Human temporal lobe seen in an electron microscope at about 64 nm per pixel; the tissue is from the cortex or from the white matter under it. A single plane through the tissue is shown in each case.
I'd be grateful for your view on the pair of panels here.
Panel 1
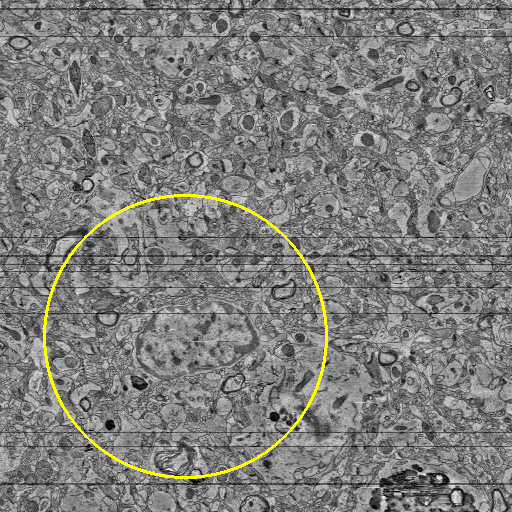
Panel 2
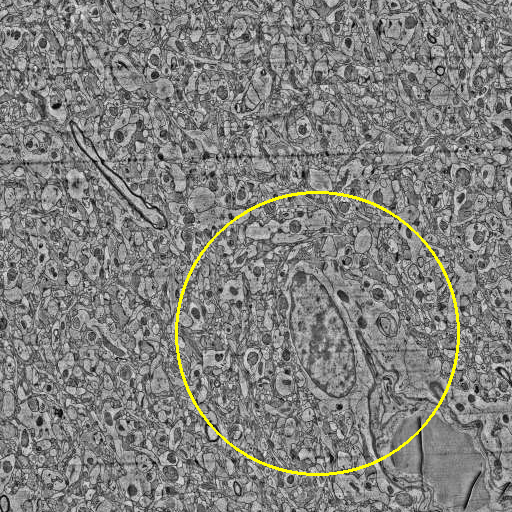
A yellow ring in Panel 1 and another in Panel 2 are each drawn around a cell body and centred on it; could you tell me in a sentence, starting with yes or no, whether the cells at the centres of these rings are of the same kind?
Yes, they are the same kind of cell.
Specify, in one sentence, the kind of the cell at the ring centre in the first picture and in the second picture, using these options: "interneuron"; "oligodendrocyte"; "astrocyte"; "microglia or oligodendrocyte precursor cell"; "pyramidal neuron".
The first and the second cell are each a microglial cell or oligodendrocyte precursor cell.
